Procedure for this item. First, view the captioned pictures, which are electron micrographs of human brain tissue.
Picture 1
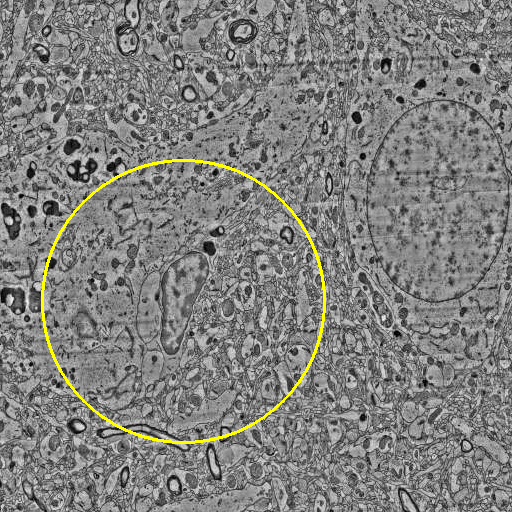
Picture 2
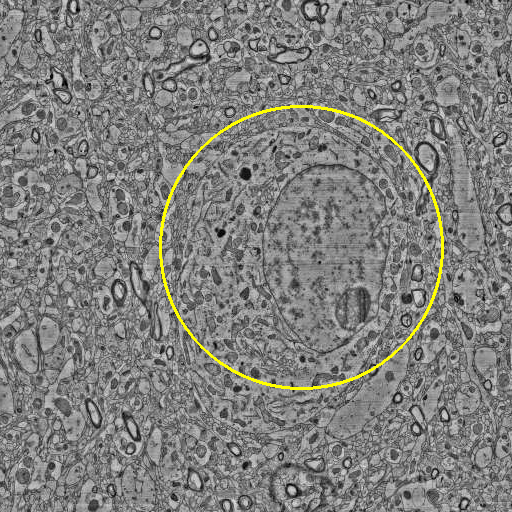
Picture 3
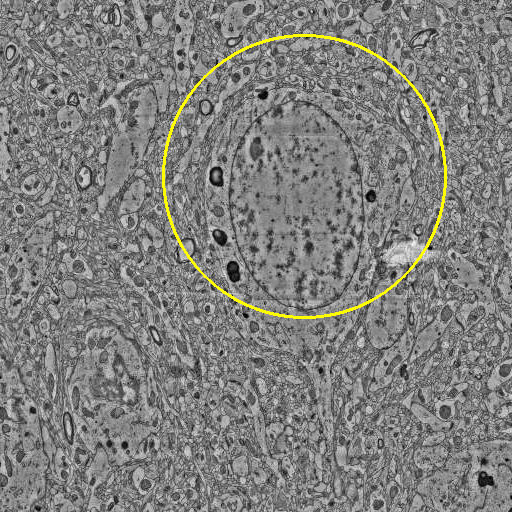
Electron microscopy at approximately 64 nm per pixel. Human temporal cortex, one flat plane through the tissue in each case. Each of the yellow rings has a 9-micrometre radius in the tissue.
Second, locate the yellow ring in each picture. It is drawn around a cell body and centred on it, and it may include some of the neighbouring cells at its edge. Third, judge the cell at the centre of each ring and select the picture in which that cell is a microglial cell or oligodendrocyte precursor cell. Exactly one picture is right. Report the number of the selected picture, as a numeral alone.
1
